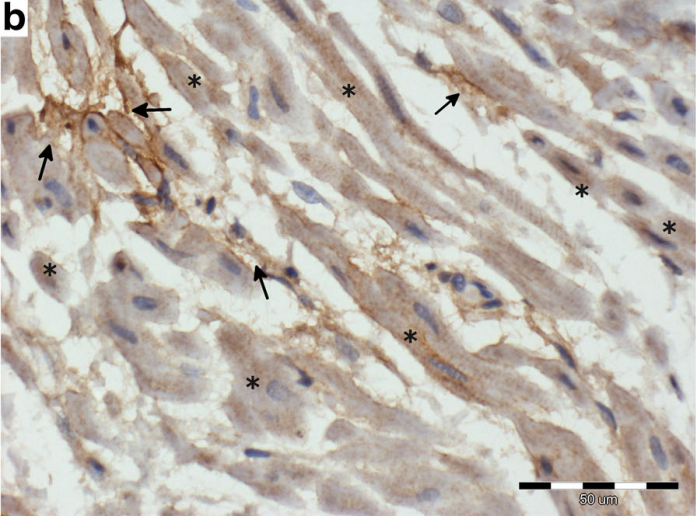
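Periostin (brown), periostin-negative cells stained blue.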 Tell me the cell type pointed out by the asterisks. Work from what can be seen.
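The fibres have central oval nuclei. The answer: cardiomyocyte.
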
